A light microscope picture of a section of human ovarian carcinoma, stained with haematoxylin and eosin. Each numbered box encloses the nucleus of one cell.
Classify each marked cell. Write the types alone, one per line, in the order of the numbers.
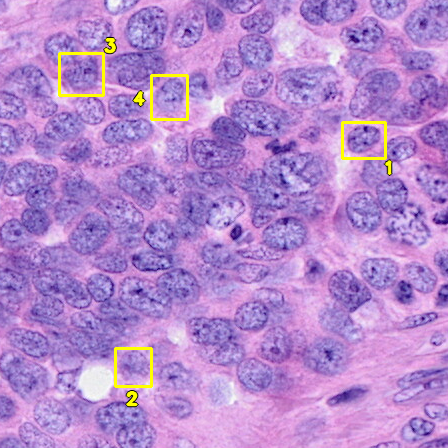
macrophage or monocyte
carcinoma cell
carcinoma cell
carcinoma cell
